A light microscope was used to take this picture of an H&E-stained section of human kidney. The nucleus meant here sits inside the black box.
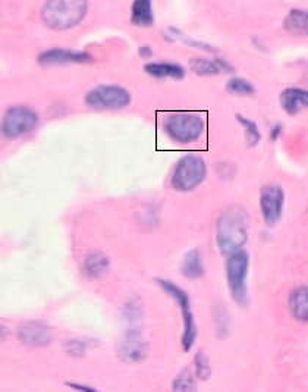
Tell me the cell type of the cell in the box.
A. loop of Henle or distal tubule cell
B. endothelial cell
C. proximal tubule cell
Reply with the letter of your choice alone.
A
